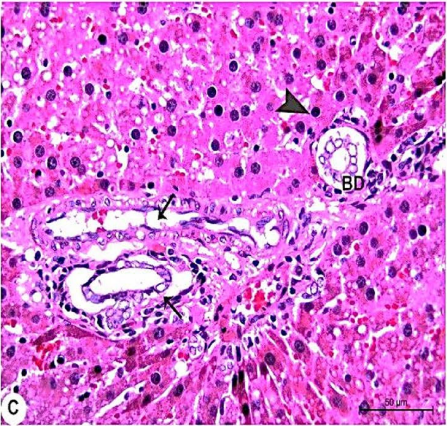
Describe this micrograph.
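Liver parenchyma of polygonal hepatocytes with round nuclei surrounds a portal area containing several small ductules lined by cuboidal epithelium. The connective tissue around these ductules is crowded with small round dark-staining nuclei of infiltrating leukocytes.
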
